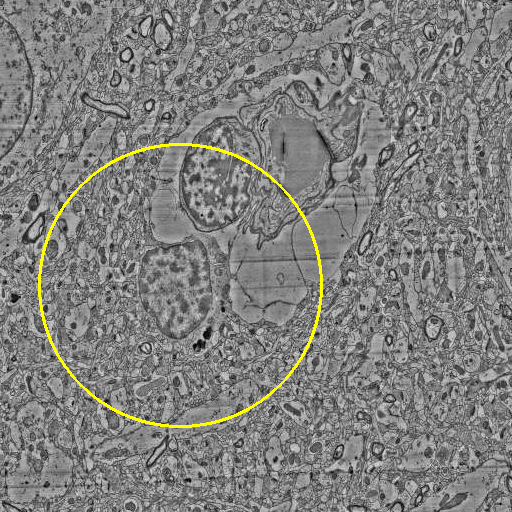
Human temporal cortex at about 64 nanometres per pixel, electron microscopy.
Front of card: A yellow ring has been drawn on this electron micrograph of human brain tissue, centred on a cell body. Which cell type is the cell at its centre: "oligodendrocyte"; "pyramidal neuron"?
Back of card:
oligodendrocyte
